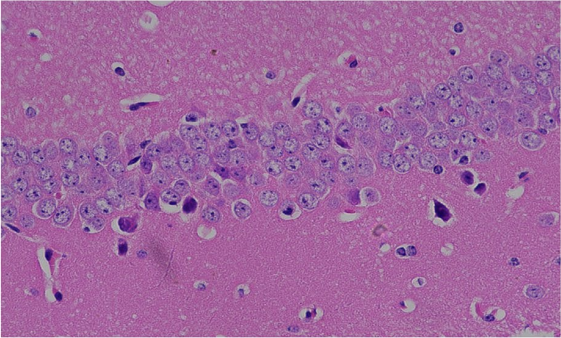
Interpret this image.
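A band of hippocampal pyramidal cells, several cells deep, runs across the field in pink-stained tissue. The cells are large, with round to oval nuclei that have pale chromatin and a single dark nucleolus, and a rim of pale purple cytoplasm. The cells lie close together in a fairly even row. Above and below the band lies pink, finely fibrillar tissue with scattered small, dark, elongated or round nuclei and a few thin vessels. A few cells in and near the band are darker and smaller than the rest.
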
